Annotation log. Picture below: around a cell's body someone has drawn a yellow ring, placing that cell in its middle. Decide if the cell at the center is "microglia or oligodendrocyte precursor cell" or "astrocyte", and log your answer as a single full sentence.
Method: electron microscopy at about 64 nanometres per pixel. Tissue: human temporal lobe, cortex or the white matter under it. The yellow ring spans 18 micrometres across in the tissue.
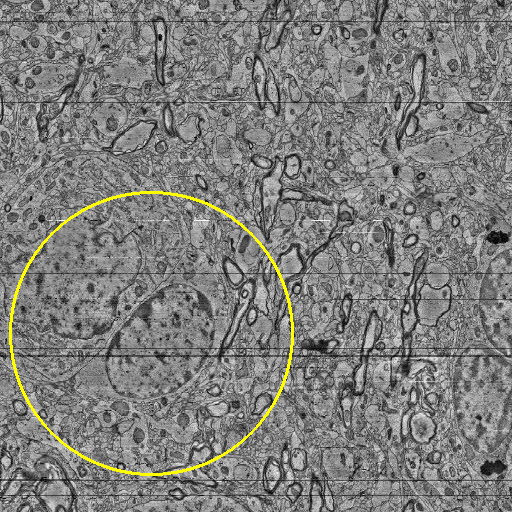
My entry records a microglial cell or oligodendrocyte precursor cell as the cell sitting at the center of the yellow ring.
